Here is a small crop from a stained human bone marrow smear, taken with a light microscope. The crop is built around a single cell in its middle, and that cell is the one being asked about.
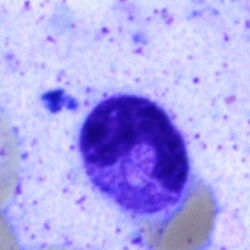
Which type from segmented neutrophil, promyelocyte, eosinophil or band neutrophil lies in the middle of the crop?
band neutrophil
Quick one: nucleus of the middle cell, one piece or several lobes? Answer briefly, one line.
See how the nucleus sits as one compact round, oval or kidney-shaped mass.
